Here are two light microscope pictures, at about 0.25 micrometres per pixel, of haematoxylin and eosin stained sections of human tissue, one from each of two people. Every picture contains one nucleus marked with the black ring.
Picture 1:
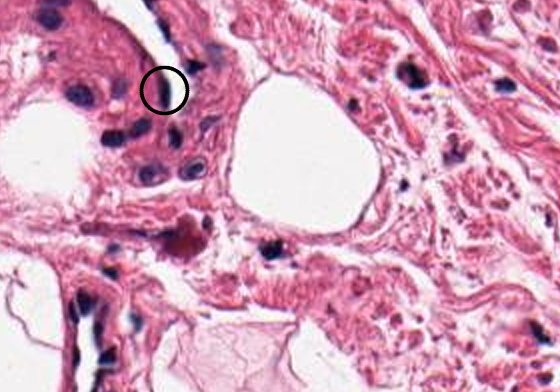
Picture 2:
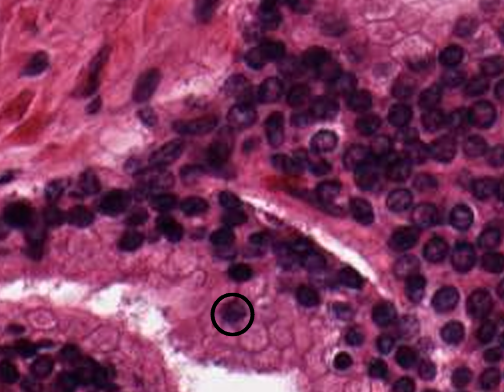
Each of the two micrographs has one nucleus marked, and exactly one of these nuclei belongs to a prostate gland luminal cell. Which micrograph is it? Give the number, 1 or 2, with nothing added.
2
